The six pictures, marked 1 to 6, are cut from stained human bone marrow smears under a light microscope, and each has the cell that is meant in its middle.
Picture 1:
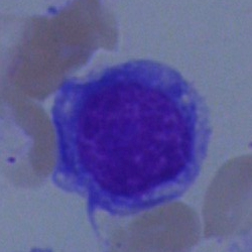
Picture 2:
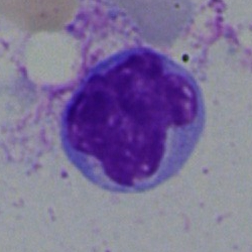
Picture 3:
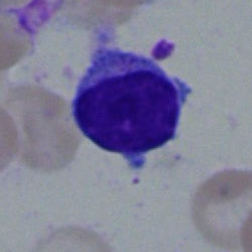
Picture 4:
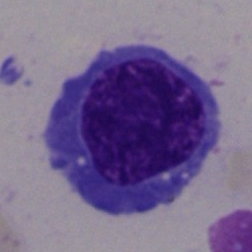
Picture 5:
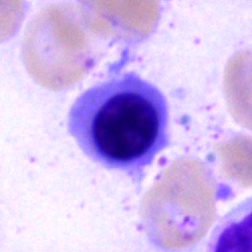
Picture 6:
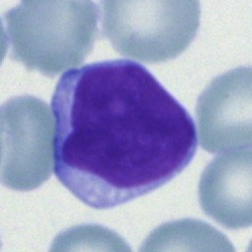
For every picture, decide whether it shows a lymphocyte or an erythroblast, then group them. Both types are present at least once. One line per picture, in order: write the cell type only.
erythroblast
lymphocyte
lymphocyte
erythroblast
erythroblast
lymphocyte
